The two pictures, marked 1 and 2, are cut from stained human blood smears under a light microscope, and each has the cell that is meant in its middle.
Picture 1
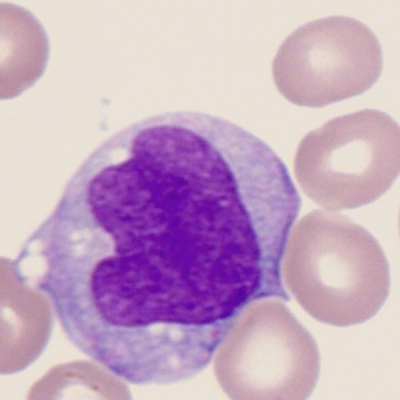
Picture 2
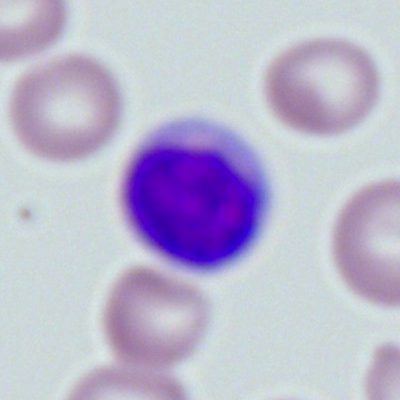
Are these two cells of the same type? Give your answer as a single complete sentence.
No, they differ: the cell is a monocyte in picture 1 and a lymphocyte in picture 2.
